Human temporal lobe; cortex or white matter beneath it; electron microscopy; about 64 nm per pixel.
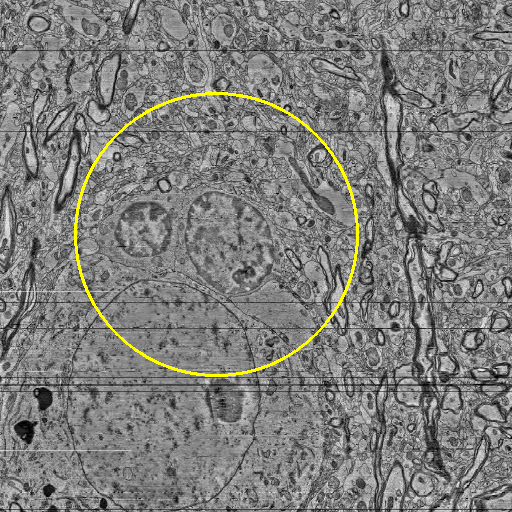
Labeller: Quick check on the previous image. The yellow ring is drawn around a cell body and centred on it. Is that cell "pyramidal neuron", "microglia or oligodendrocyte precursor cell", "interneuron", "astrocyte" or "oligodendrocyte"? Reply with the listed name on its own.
oligodendrocyte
